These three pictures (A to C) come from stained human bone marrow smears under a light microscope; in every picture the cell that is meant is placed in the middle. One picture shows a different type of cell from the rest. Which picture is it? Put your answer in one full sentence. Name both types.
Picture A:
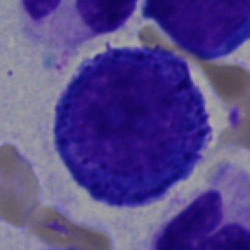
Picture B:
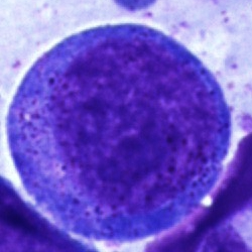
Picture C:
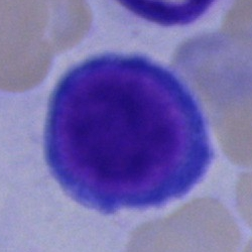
Picture B differs, because its cell is a promyelocyte and the rest are proerythroblasts.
